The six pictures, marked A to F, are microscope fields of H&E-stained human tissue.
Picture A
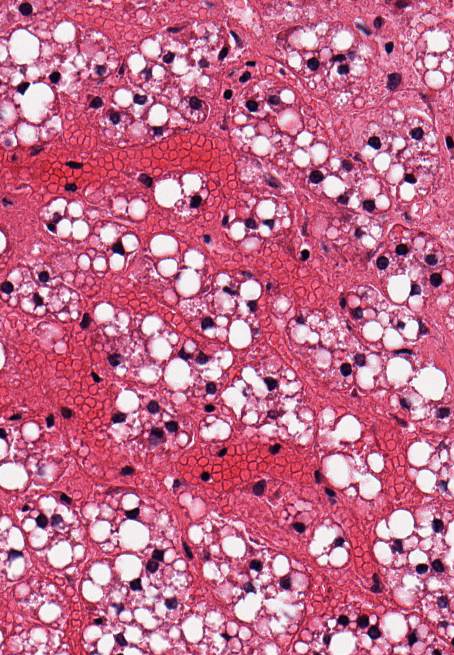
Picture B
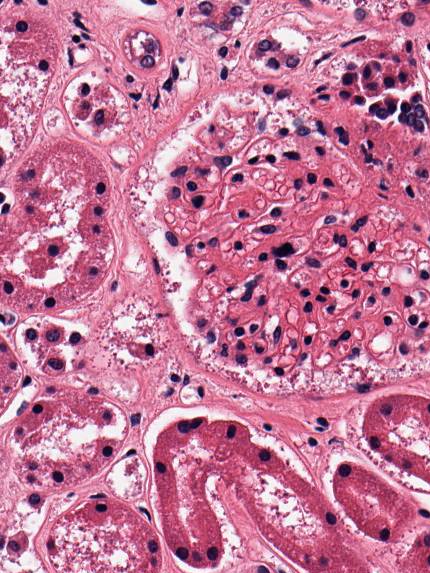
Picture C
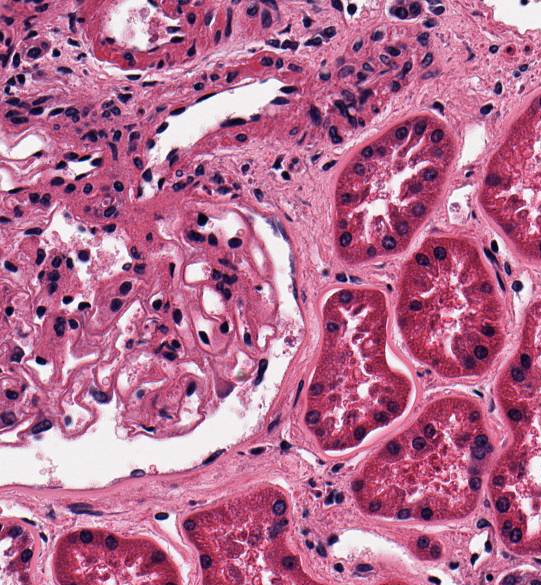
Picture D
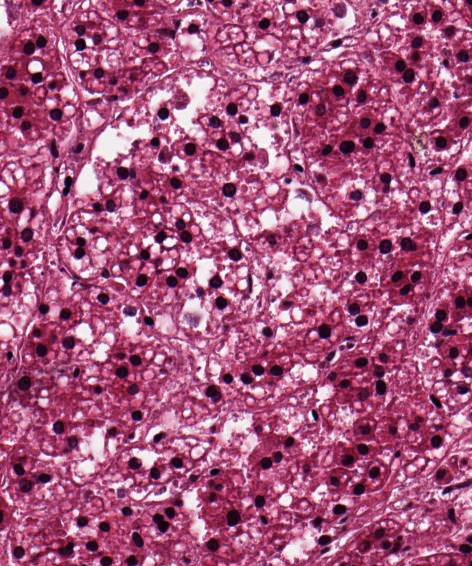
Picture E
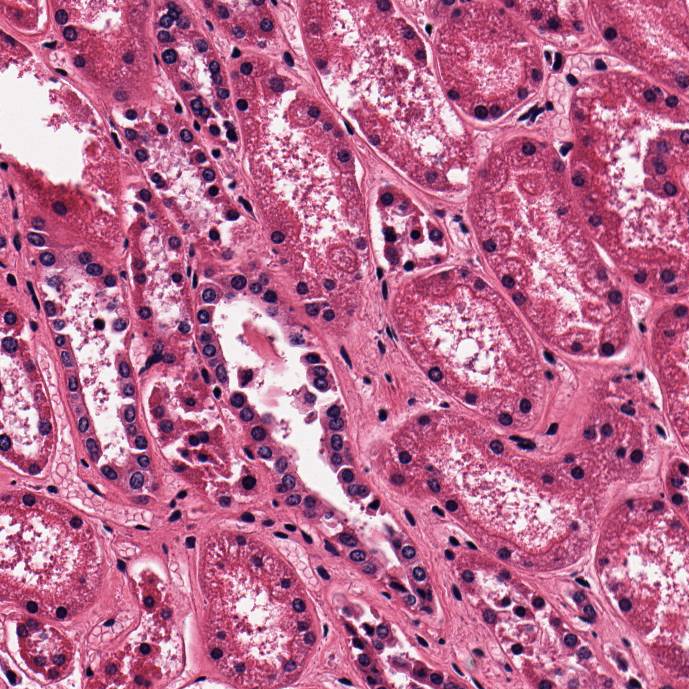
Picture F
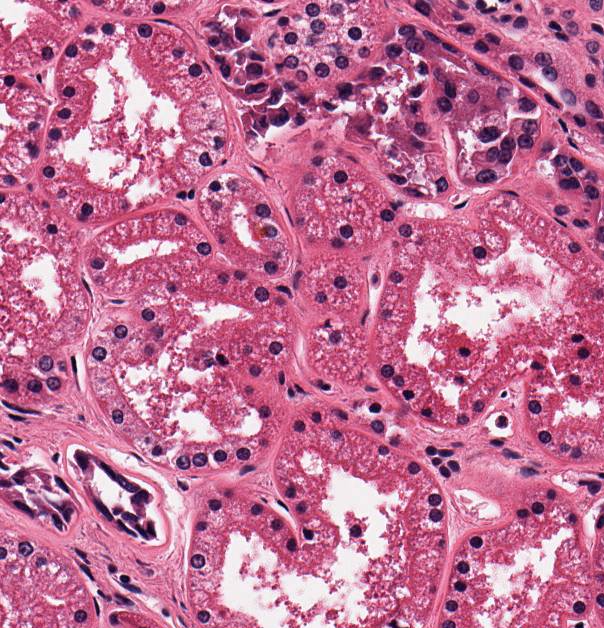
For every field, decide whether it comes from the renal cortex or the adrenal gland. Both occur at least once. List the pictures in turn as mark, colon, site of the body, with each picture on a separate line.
A: adrenal gland
B: renal cortex
C: renal cortex
D: adrenal gland
E: renal cortex
F: renal cortex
